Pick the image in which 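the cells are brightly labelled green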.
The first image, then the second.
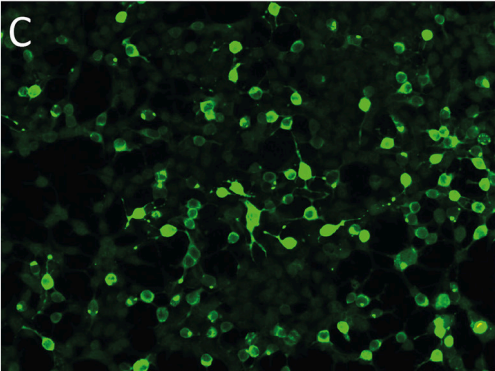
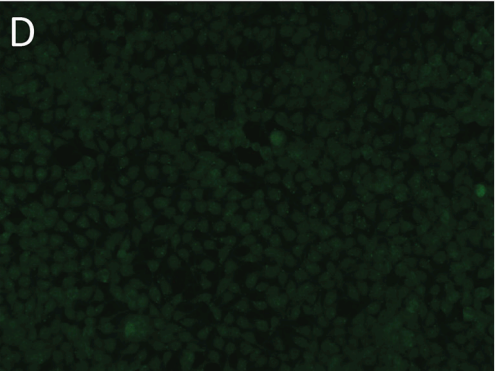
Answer: The first image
